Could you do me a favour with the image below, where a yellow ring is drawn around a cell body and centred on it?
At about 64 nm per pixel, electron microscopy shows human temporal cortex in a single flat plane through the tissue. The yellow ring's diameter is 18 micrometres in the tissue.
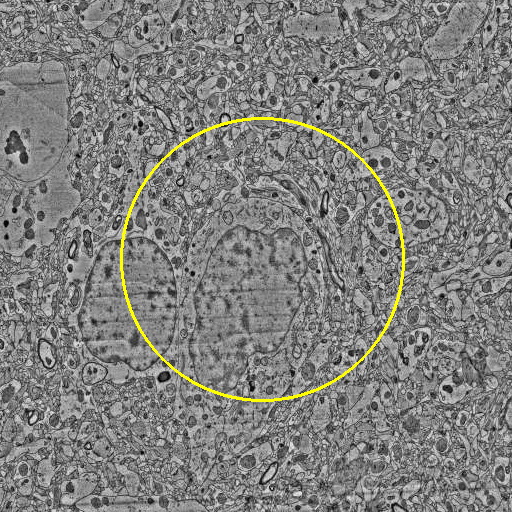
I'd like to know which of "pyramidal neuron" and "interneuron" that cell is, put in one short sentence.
The cell at the ring's centre is an interneuron.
